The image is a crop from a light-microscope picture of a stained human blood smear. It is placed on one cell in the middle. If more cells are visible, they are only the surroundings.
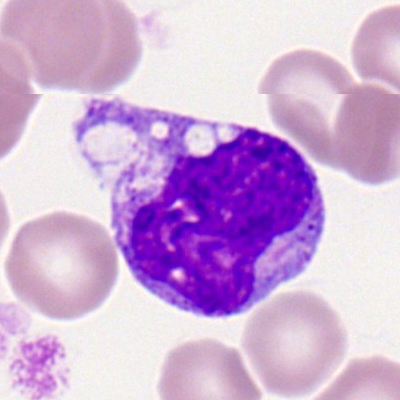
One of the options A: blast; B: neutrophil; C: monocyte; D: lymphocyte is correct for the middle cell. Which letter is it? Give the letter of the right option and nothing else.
C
